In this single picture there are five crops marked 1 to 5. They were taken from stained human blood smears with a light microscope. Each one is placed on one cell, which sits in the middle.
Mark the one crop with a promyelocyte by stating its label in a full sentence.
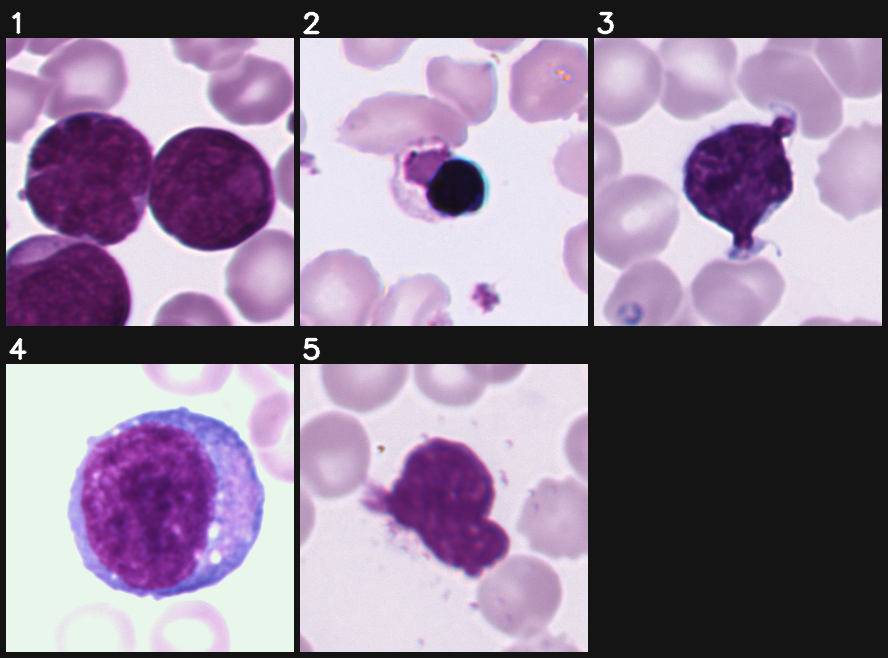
The crop marked 4 is the one in which a promyelocyte is shown.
